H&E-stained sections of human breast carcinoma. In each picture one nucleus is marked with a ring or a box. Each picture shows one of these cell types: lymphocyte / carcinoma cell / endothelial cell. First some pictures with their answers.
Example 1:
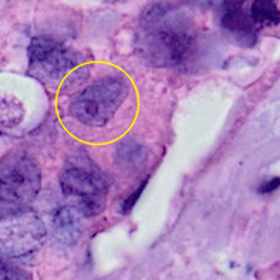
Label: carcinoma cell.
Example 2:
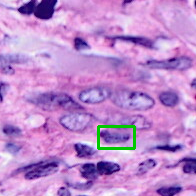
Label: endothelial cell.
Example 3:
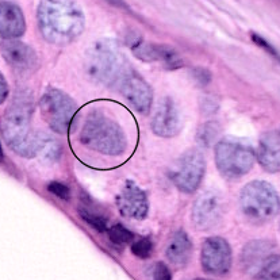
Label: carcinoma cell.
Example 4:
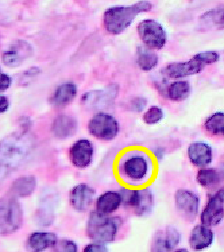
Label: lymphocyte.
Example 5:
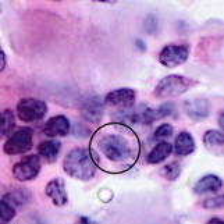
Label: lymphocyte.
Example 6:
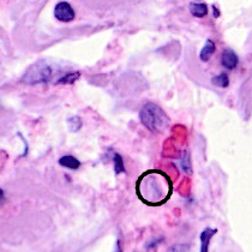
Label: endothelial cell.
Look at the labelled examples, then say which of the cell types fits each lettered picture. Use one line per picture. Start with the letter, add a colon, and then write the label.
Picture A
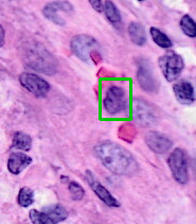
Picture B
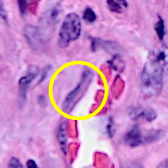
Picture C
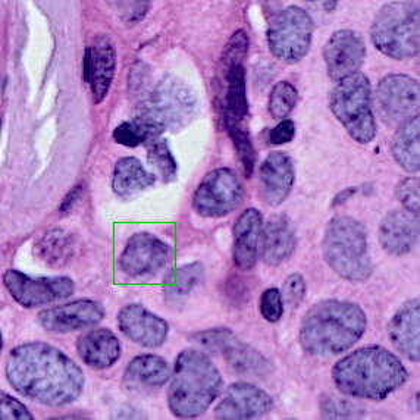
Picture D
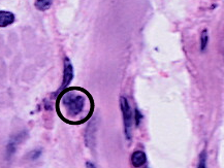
A: endothelial cell.
B: endothelial cell.
C: carcinoma cell.
D: lymphocyte.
